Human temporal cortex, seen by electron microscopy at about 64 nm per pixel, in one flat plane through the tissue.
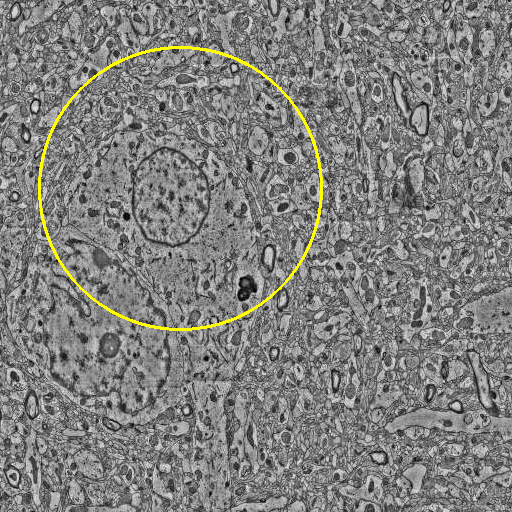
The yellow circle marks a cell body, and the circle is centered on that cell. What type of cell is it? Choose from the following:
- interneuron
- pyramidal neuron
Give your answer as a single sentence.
This cell body belongs to a pyramidal neuron.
